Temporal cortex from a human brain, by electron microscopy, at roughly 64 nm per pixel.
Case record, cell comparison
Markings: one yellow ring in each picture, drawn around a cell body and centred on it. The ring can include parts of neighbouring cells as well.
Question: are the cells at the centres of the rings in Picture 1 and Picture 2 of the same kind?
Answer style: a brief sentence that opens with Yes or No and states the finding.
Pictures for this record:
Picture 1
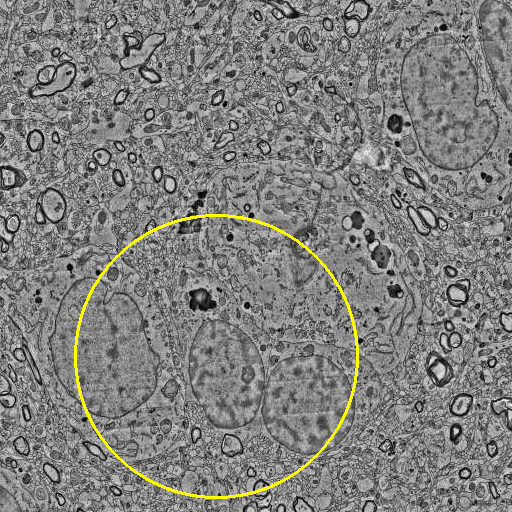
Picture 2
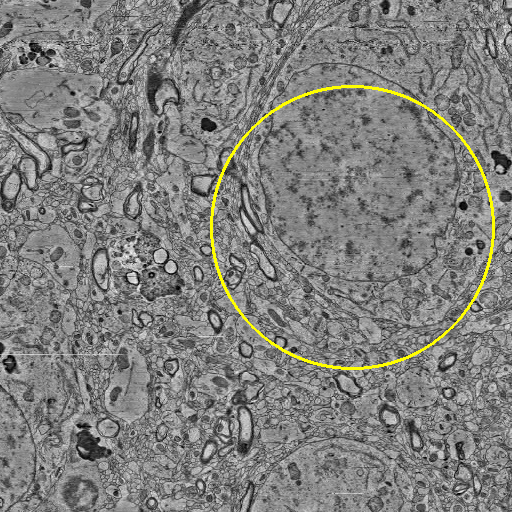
No, the cells in Picture 1 and Picture 2 are of two kinds.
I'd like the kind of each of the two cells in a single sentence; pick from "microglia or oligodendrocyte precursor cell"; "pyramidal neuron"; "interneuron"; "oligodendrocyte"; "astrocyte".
The first ring marks an oligodendrocyte, and the second ring marks a pyramidal neuron.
